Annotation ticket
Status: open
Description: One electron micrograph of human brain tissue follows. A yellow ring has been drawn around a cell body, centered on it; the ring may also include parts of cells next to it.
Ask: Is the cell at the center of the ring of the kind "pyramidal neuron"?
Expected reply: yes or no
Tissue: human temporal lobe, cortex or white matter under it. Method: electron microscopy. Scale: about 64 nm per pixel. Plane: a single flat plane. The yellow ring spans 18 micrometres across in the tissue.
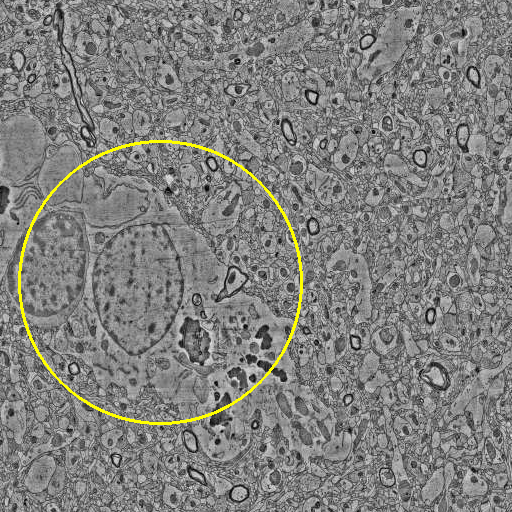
no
